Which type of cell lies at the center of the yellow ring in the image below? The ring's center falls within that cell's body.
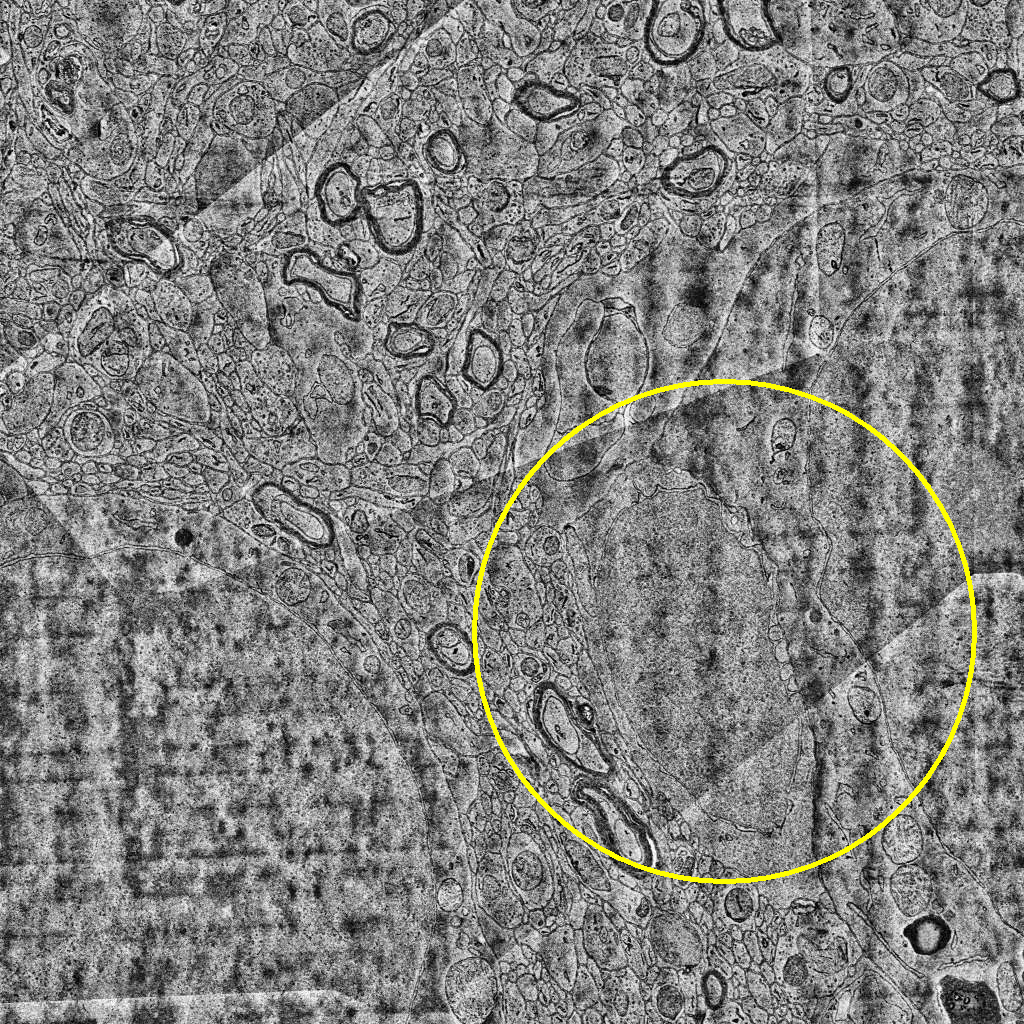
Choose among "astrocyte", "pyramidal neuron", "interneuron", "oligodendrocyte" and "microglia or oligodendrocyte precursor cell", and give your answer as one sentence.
The cell body at the center belongs to an oligodendrocyte.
